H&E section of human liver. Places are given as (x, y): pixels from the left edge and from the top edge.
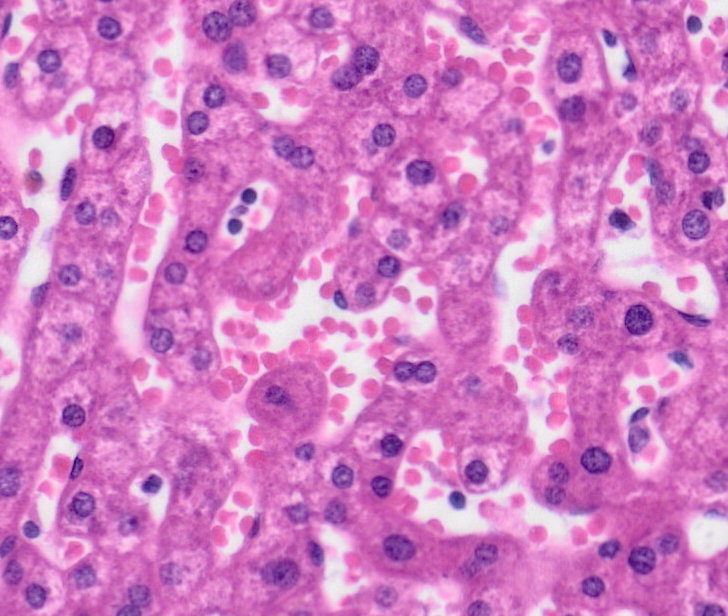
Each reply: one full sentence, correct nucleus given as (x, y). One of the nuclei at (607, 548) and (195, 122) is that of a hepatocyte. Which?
The one nucleus of the two that belongs to a hepatocyte is at (195, 122).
